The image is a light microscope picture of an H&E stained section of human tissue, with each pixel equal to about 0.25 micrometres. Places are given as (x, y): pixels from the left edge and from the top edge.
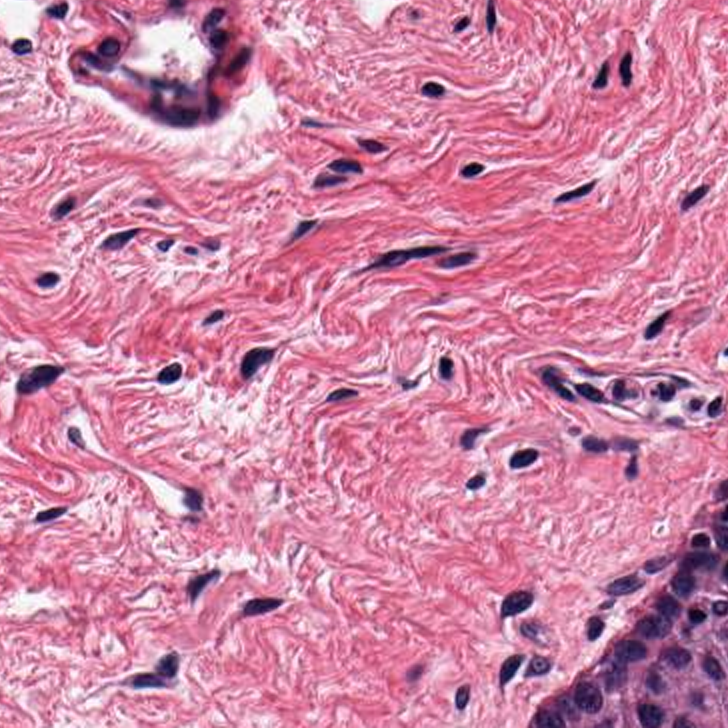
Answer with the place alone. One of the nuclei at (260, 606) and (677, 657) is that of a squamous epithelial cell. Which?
(677, 657)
